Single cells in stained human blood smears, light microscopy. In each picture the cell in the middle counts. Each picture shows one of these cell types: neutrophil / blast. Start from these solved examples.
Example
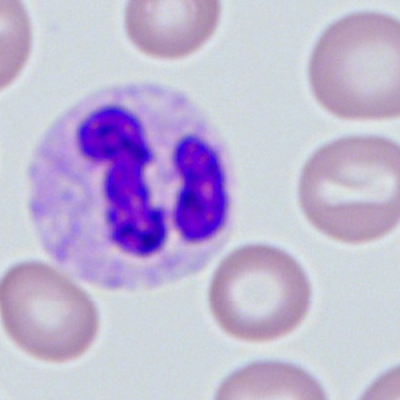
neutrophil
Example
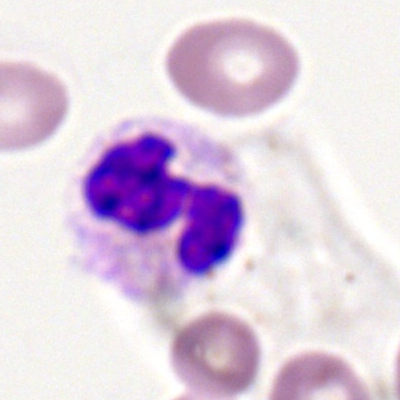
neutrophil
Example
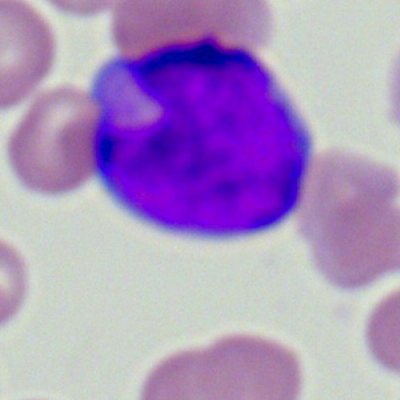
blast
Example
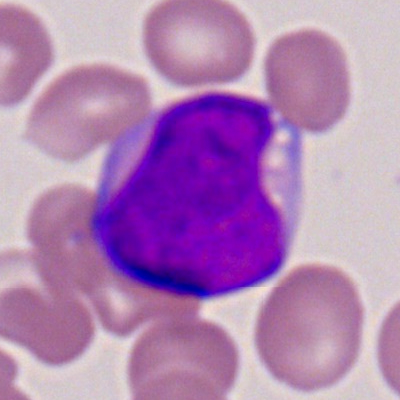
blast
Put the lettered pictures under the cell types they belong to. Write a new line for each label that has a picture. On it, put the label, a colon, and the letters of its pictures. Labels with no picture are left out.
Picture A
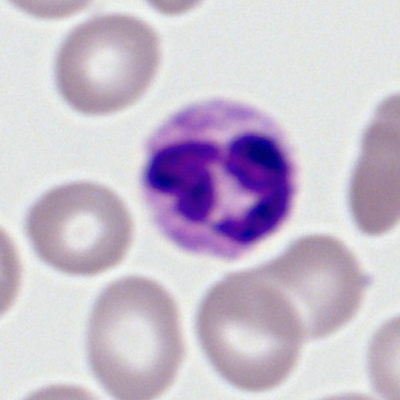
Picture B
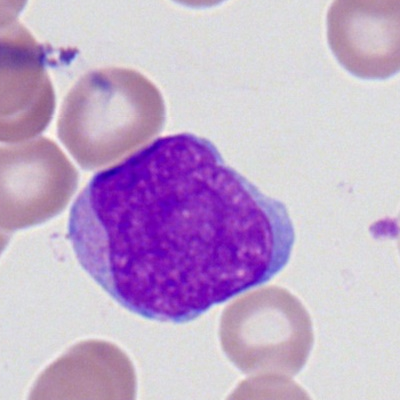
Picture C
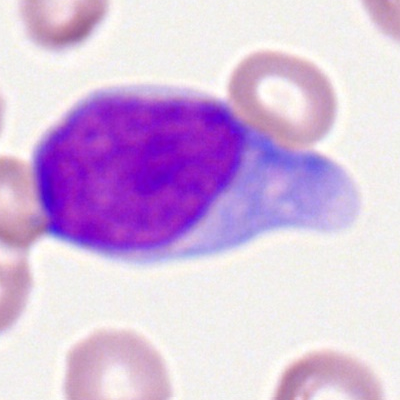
neutrophil: A
blast: B, C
